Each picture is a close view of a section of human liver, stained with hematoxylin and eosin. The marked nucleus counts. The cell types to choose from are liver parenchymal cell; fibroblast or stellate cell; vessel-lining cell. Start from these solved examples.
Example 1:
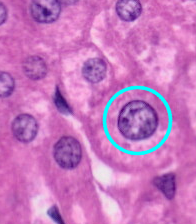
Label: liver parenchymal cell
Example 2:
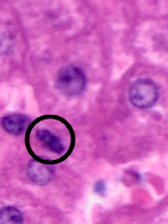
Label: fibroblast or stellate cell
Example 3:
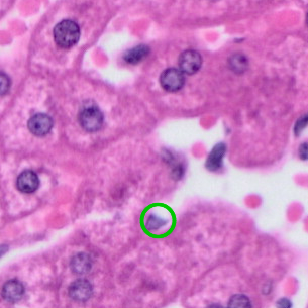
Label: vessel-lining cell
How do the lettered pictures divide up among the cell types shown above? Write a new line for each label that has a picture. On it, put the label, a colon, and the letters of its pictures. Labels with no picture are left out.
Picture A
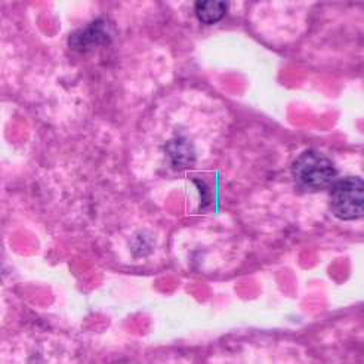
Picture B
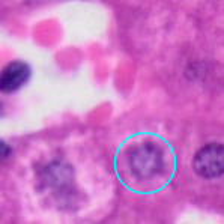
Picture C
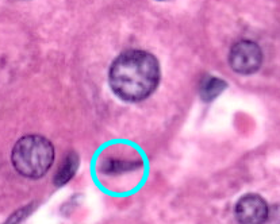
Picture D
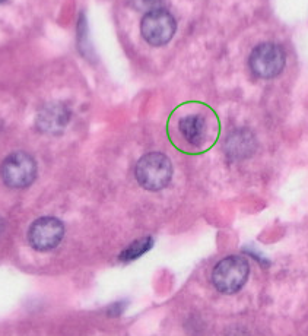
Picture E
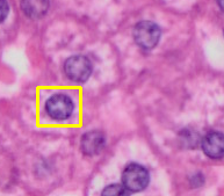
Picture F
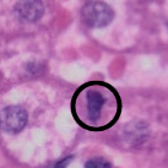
liver parenchymal cell: B, E
fibroblast or stellate cell: C, D, F
vessel-lining cell: A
